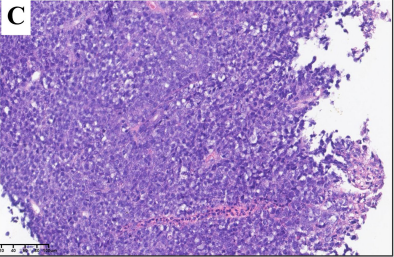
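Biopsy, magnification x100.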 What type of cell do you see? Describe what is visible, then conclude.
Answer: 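Densely packed cells fill the field in a continuous sheet. No glands or lumens are formed. Nuclei are dark and crowded with scant cytoplasm. The answer: poorly differentiated tumor cells.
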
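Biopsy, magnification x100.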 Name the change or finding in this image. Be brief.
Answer: a solid pattern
